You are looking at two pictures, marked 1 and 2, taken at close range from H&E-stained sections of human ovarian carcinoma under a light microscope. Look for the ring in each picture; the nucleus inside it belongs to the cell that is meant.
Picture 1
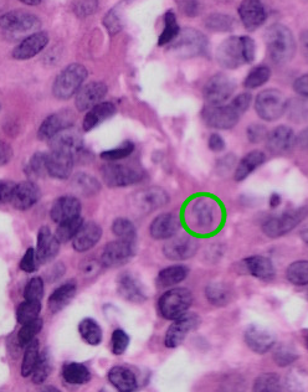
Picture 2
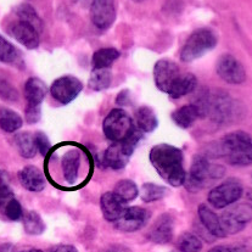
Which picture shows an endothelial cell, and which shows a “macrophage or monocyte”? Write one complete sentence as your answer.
The cell in picture 1 is an endothelial cell, and the one in picture 2 is a “macrophage or monocyte”.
